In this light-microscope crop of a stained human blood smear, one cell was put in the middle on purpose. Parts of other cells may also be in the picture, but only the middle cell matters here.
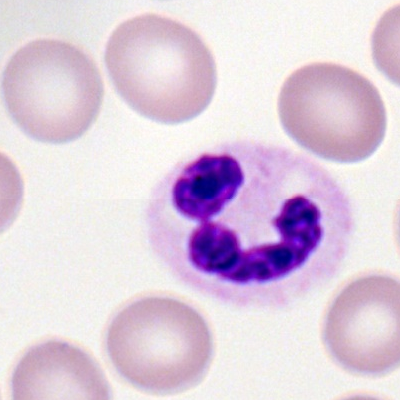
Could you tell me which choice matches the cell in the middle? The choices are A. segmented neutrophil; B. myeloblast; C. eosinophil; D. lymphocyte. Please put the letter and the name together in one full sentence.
The correct identification, given in option A, is that the central cell is a segmented neutrophil.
